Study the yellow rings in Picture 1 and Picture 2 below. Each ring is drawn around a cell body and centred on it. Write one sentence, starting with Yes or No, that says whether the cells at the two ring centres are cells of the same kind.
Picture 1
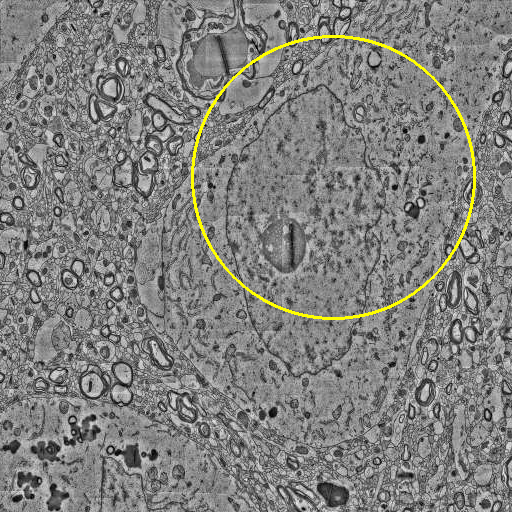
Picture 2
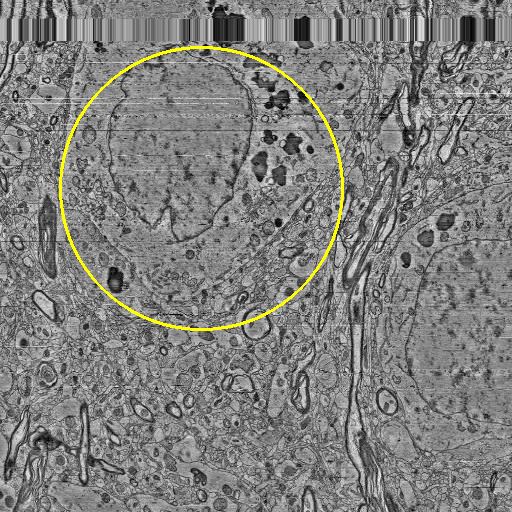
Yes, the cells at both ring centres are of the same kind.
